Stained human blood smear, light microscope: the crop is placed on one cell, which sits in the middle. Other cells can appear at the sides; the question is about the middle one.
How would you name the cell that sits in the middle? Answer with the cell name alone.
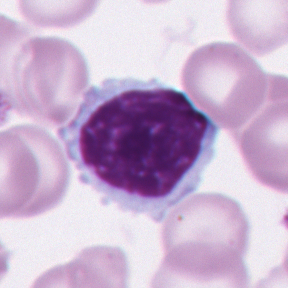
typical lymphocyte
